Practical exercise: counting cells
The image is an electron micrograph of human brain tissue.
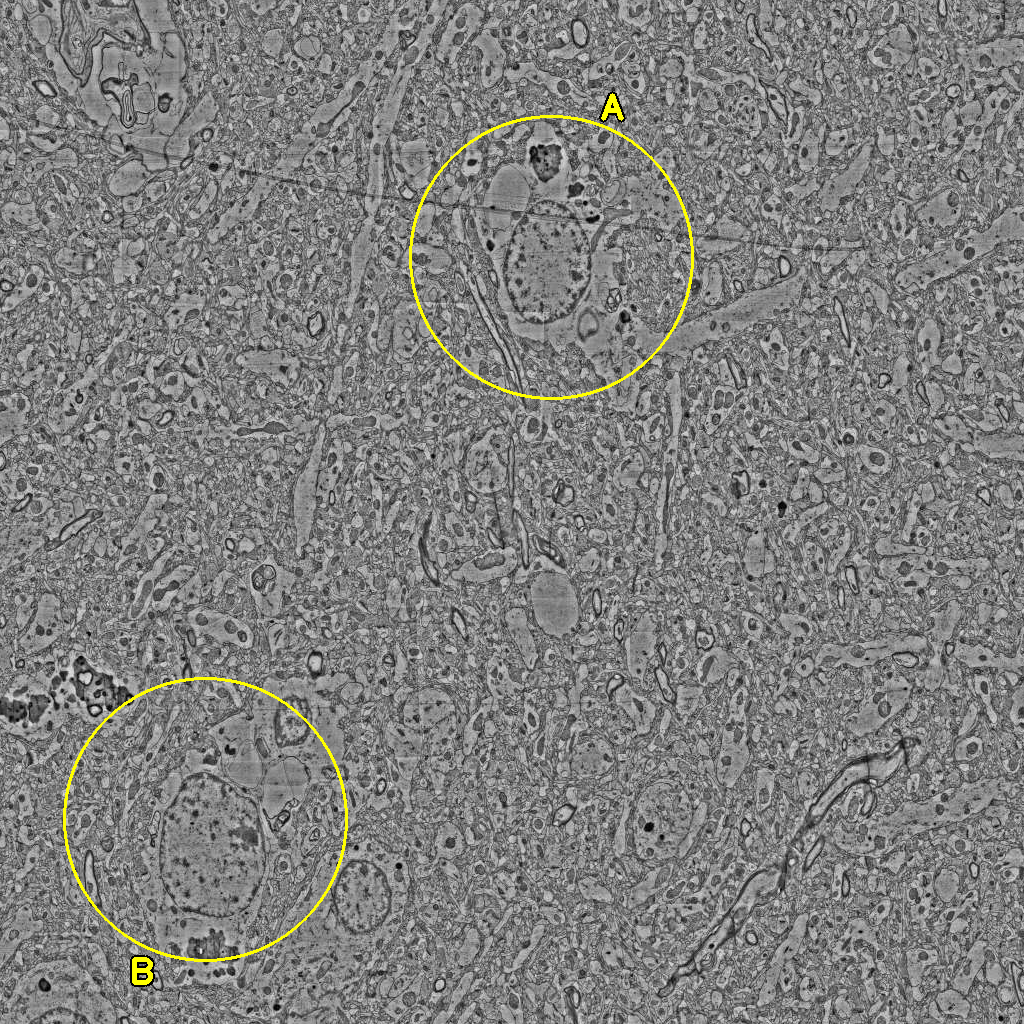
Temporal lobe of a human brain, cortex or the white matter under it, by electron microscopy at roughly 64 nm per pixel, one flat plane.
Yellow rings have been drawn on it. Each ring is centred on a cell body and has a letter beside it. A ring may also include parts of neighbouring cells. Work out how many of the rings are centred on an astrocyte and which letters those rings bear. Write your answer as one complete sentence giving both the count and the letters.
Here two rings, namely those with the letters A and B, are centred on an astrocyte apiece.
